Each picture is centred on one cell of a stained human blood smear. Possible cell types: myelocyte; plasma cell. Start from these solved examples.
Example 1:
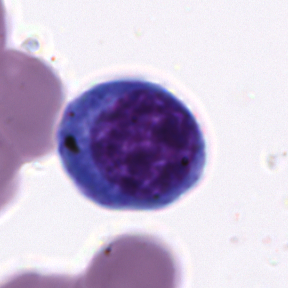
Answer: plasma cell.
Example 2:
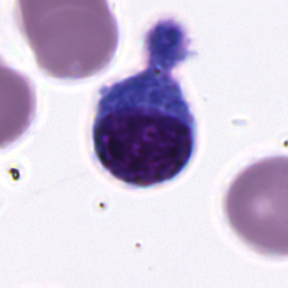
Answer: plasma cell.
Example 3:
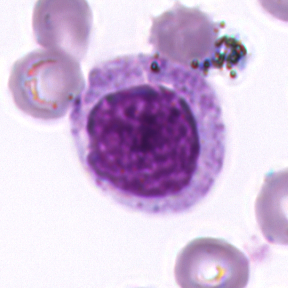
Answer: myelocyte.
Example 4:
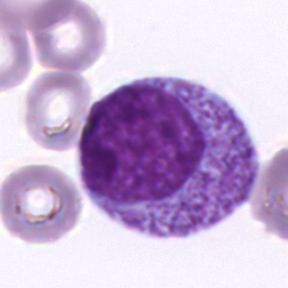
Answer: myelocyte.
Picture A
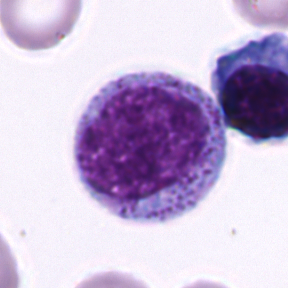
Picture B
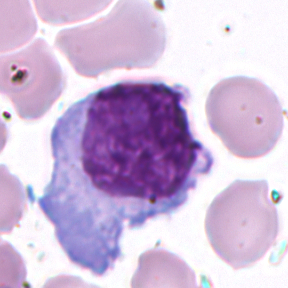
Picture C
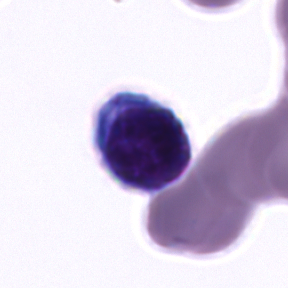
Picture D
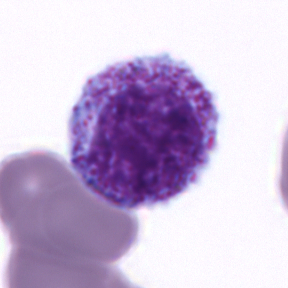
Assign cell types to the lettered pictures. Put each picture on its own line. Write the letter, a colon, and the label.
A: myelocyte.
B: plasma cell.
C: plasma cell.
D: myelocyte.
